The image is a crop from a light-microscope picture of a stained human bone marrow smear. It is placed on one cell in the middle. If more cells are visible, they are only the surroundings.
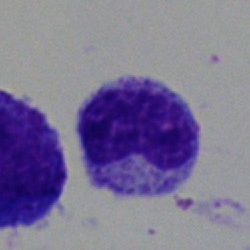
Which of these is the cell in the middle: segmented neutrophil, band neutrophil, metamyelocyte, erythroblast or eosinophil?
metamyelocyte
